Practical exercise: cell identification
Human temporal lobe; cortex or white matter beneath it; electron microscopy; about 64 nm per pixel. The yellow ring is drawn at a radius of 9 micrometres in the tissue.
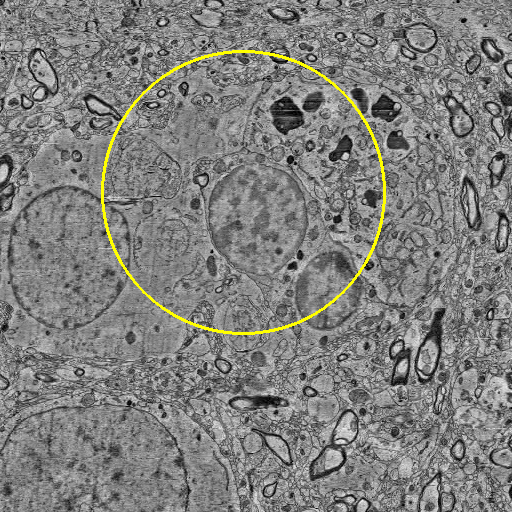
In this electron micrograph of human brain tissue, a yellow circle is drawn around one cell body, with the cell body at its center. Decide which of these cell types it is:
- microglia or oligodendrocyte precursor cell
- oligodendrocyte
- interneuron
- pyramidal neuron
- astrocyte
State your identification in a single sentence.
The ringed cell is an oligodendrocyte.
